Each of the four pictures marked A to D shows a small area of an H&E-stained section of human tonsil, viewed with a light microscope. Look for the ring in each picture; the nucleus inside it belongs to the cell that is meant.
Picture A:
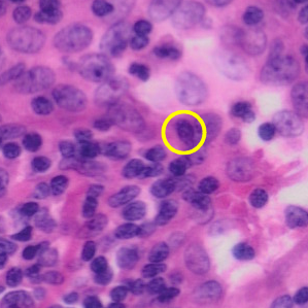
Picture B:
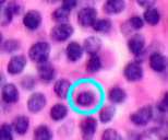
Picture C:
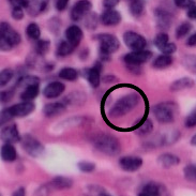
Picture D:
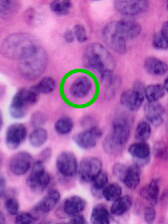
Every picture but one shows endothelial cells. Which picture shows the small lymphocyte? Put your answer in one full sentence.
Picture B is the one that shows the small lymphocyte.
